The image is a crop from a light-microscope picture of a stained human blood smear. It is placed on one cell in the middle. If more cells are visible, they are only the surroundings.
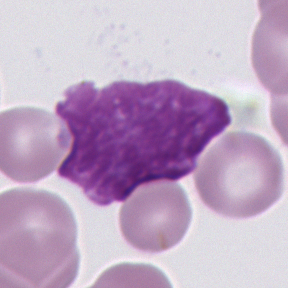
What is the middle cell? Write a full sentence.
In the center of this field lies a smudge cell.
